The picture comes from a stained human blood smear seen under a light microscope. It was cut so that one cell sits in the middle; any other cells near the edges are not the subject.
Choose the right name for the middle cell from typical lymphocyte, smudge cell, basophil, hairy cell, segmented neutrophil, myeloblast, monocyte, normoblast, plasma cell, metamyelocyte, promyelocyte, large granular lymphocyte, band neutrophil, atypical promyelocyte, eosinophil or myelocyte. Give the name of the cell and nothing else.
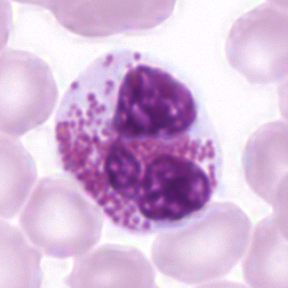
eosinophil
